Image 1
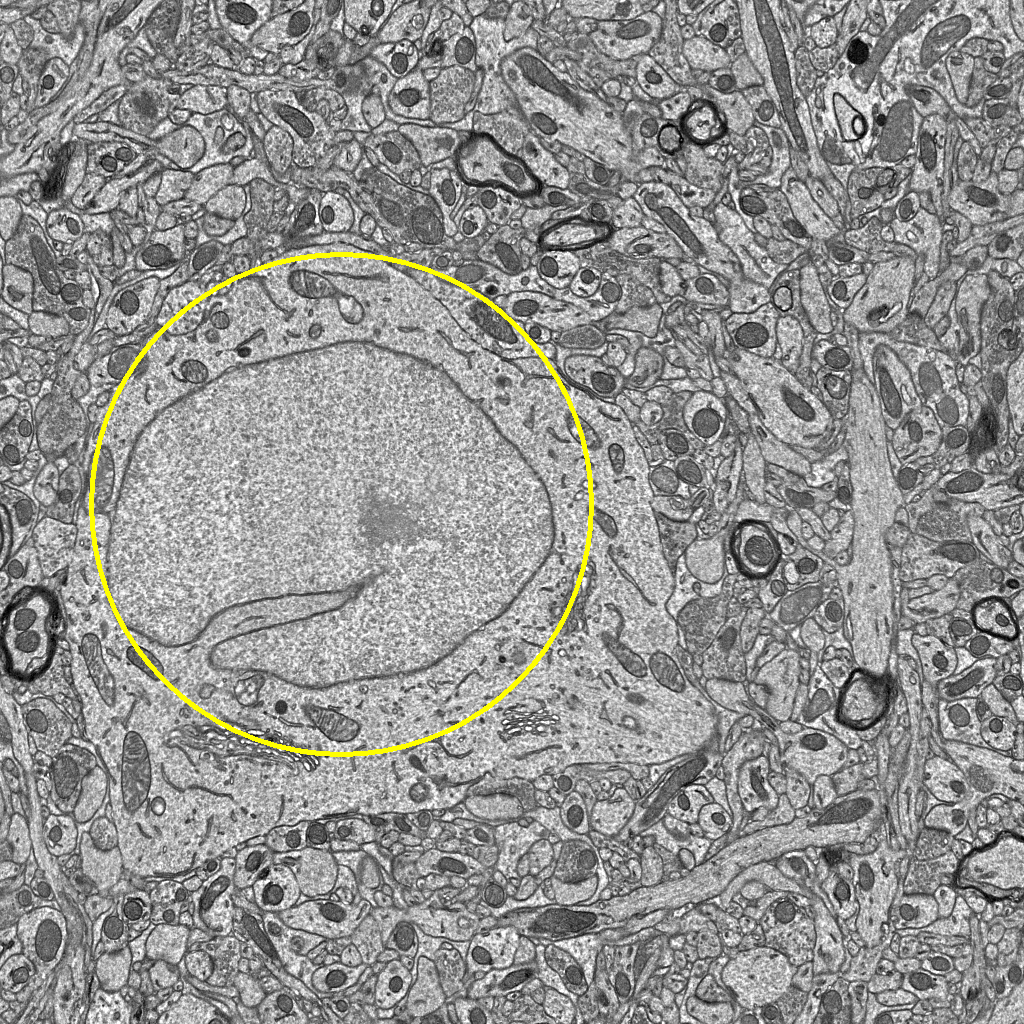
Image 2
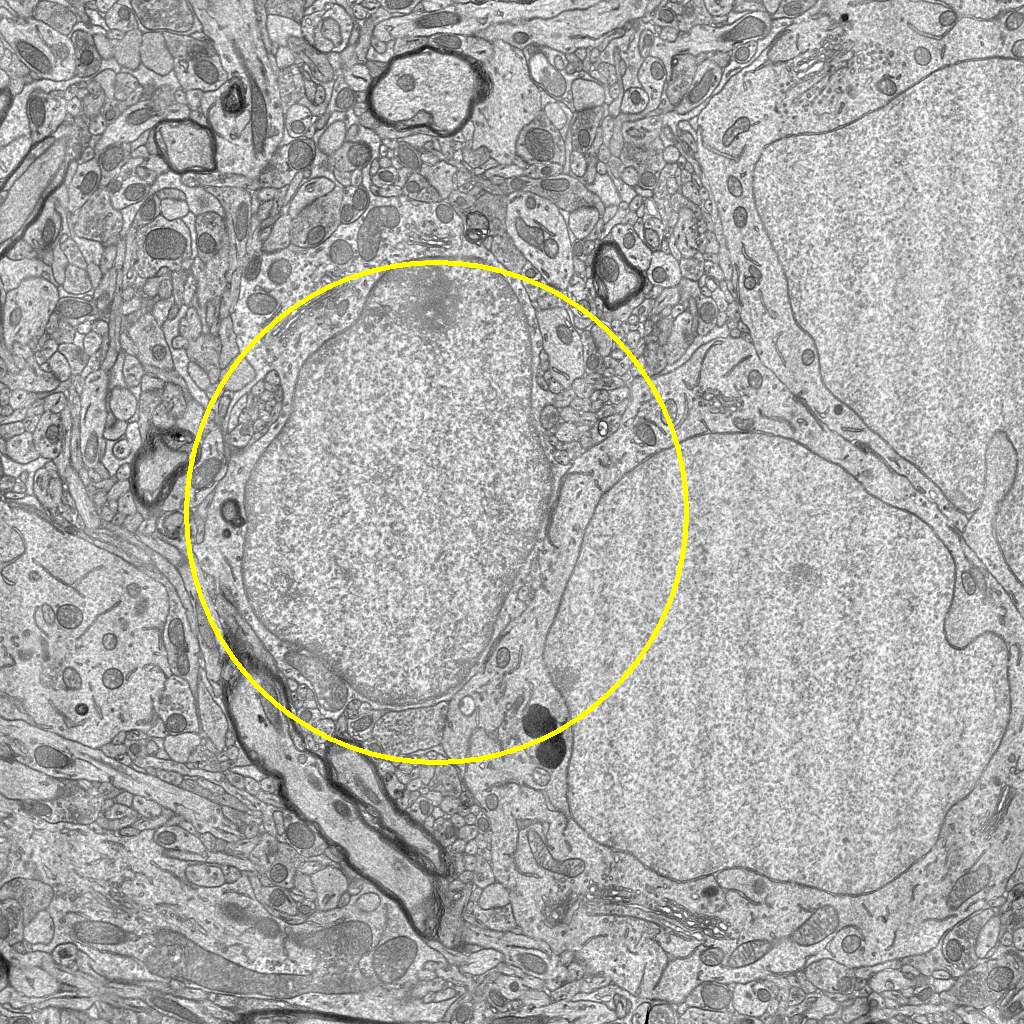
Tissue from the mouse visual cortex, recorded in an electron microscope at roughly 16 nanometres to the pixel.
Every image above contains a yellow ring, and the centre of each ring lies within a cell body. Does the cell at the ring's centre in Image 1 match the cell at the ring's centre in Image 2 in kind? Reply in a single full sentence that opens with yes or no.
No, the cell at the ring's centre in Image 1 is a separate kind from that in Image 2.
